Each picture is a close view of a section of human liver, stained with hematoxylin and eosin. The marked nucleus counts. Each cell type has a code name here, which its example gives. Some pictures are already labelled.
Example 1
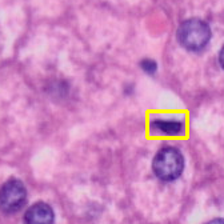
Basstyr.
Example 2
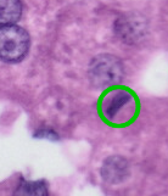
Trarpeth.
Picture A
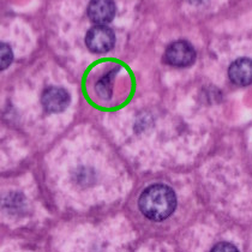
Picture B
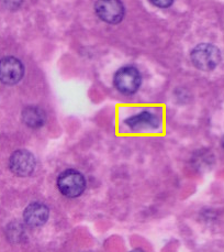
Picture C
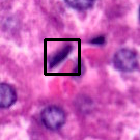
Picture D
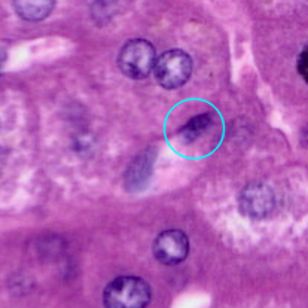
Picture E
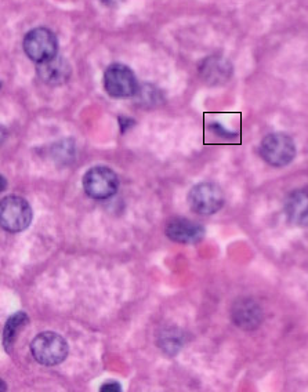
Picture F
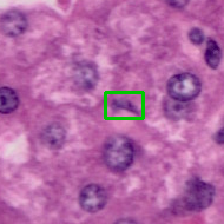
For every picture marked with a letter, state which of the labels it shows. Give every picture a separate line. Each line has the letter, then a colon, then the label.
A: Basstyr.
B: Basstyr.
C: Basstyr.
D: Trarpeth.
E: Basstyr.
F: Basstyr.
